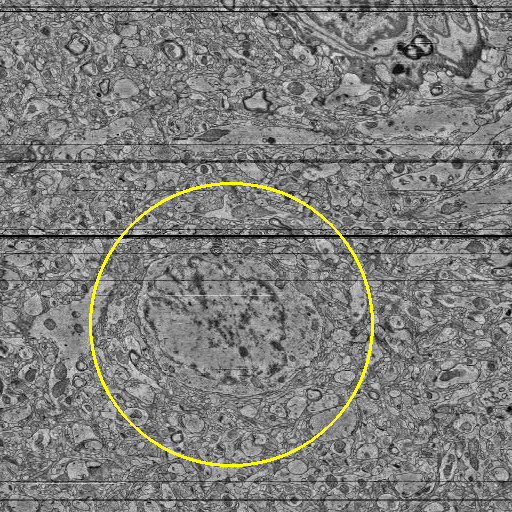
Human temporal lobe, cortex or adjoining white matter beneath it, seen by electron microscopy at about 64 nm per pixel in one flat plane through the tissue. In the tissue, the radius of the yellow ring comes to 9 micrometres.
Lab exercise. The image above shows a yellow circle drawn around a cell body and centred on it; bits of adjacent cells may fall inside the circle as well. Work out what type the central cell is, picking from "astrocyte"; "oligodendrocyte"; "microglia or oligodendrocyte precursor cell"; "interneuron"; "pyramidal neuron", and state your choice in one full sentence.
In the image above, the cell at the centre of the yellow circle is an interneuron.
